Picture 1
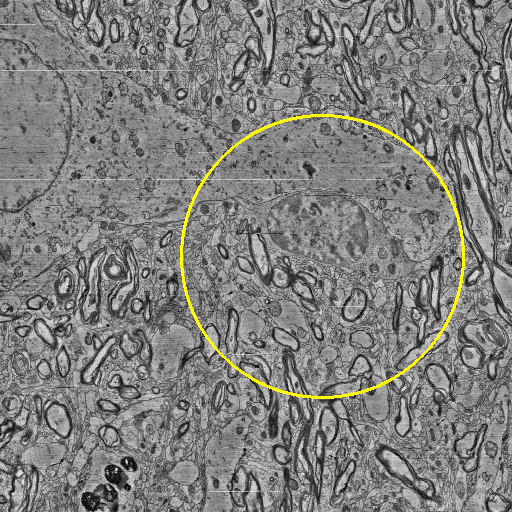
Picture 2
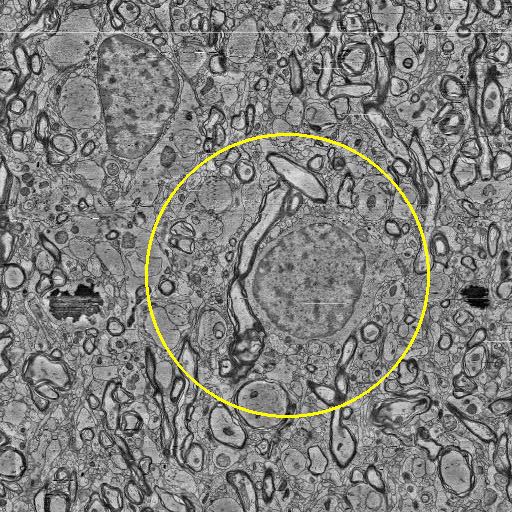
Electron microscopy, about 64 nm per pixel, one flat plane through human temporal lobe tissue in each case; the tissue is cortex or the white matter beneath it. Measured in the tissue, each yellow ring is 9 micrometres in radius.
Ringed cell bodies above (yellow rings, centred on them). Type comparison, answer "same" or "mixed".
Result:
same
